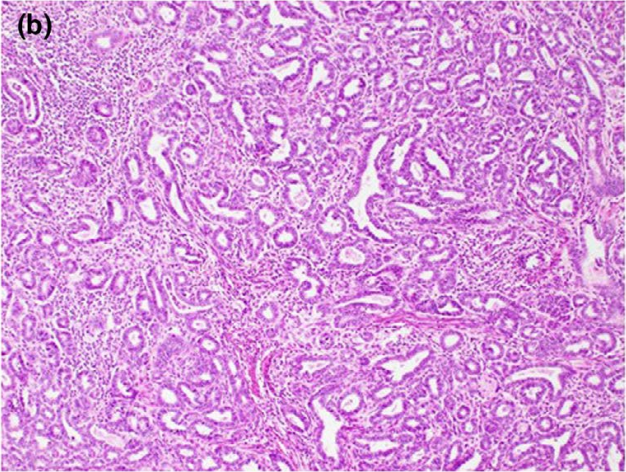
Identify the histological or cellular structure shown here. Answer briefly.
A: Glandular and tubular arrangements.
